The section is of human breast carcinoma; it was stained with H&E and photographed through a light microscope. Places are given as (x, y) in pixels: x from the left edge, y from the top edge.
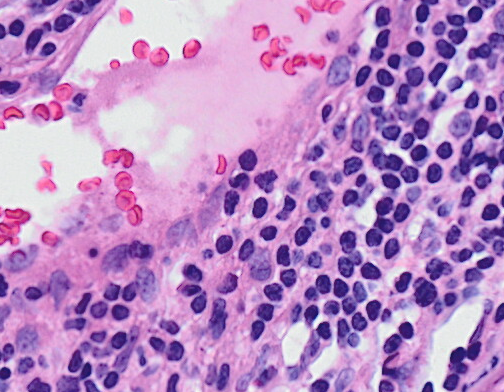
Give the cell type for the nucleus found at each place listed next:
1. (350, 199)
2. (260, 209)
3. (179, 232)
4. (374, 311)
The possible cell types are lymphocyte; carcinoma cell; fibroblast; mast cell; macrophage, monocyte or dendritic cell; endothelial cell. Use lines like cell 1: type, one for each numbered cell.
cell 1: lymphocyte
cell 2: lymphocyte
cell 3: endothelial cell
cell 4: lymphocyte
